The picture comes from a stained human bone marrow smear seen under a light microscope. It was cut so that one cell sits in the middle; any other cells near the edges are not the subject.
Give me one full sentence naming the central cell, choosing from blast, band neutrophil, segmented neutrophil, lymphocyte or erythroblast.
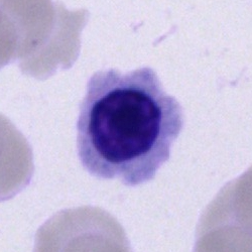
Occupying the centre of the crop is an erythroblast.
